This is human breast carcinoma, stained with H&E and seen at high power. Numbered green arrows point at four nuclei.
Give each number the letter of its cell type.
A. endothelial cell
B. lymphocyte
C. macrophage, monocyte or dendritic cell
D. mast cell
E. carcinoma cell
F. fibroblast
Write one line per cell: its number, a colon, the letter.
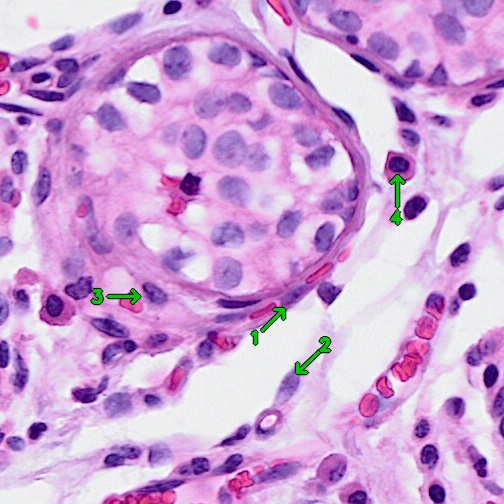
1: A
2: F
3: A
4: D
